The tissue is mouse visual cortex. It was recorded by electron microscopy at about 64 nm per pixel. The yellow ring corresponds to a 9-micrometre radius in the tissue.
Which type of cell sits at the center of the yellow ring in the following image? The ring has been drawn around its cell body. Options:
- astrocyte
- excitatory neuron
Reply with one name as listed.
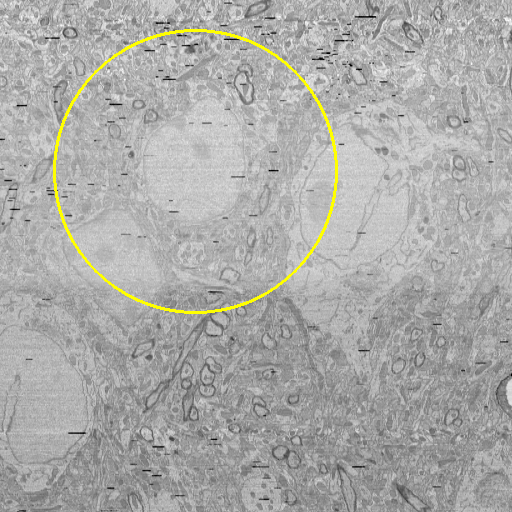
astrocyte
